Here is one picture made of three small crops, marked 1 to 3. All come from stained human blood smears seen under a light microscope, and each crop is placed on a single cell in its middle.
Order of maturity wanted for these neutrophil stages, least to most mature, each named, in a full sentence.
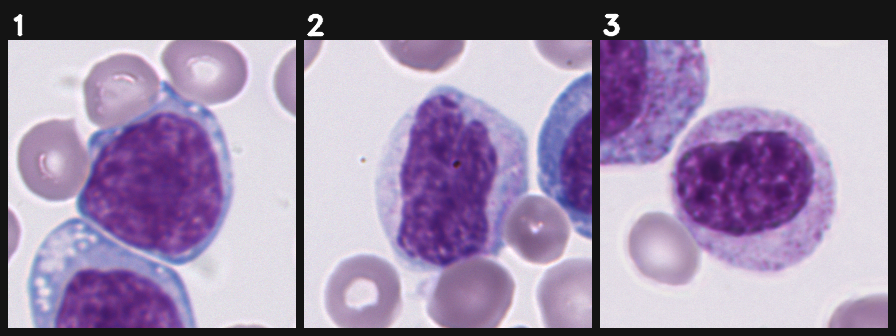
From least to most mature, the crops are ordered crop 1 (a blast), crop 2 (a myelocyte) and crop 3 (a metamyelocyte).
